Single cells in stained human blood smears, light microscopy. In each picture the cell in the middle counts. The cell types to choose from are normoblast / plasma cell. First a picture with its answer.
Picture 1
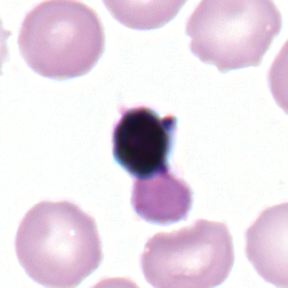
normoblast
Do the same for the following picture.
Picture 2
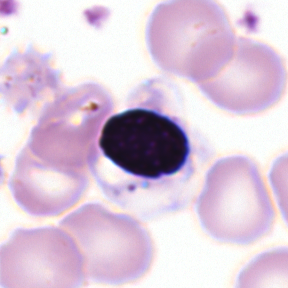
normoblast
